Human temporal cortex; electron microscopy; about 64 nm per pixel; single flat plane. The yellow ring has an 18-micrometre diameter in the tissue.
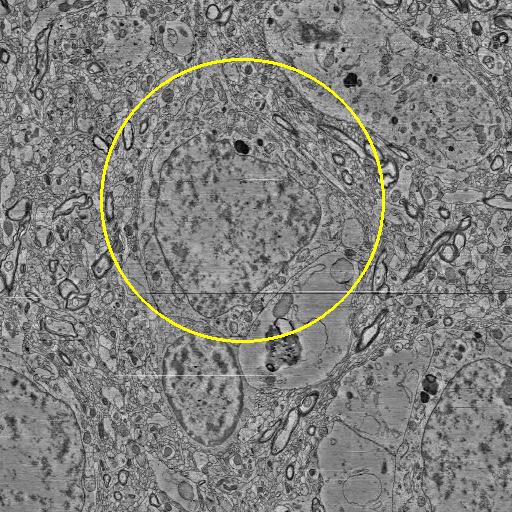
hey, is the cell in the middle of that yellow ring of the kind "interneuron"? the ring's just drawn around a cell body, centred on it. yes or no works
no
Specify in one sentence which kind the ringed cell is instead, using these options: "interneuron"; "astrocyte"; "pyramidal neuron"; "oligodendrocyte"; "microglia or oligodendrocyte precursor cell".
Instead, the ring surrounds a pyramidal neuron in this picture.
